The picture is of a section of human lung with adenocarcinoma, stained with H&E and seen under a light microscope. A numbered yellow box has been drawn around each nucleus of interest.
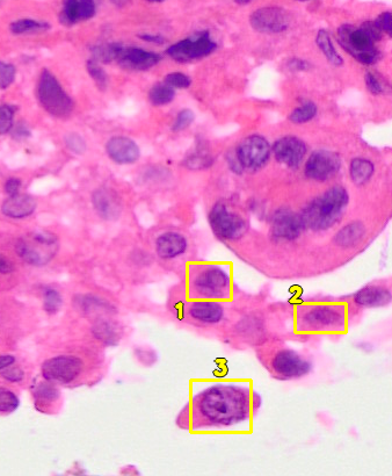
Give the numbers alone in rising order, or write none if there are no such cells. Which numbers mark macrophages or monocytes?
1, 2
